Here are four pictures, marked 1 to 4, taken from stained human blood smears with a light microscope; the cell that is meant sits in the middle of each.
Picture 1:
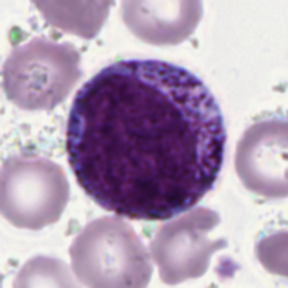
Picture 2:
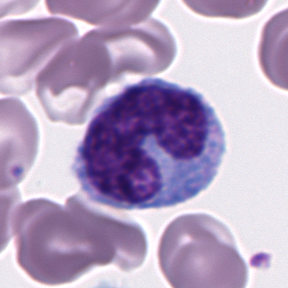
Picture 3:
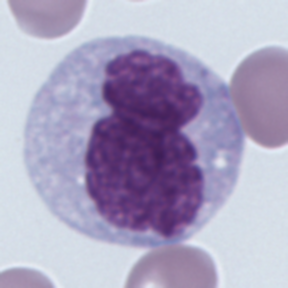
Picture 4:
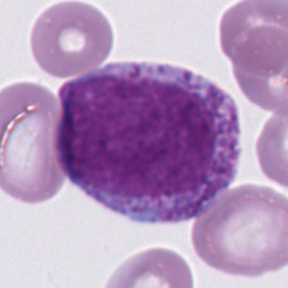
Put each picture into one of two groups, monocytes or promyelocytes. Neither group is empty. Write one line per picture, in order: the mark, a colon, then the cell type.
1: promyelocyte
2: monocyte
3: monocyte
4: promyelocyte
